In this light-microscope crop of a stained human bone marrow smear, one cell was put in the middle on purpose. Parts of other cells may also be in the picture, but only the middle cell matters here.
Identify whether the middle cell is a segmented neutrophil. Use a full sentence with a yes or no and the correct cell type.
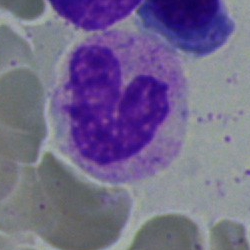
No, the middle one is a band neutrophil rather than a segmented neutrophil.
